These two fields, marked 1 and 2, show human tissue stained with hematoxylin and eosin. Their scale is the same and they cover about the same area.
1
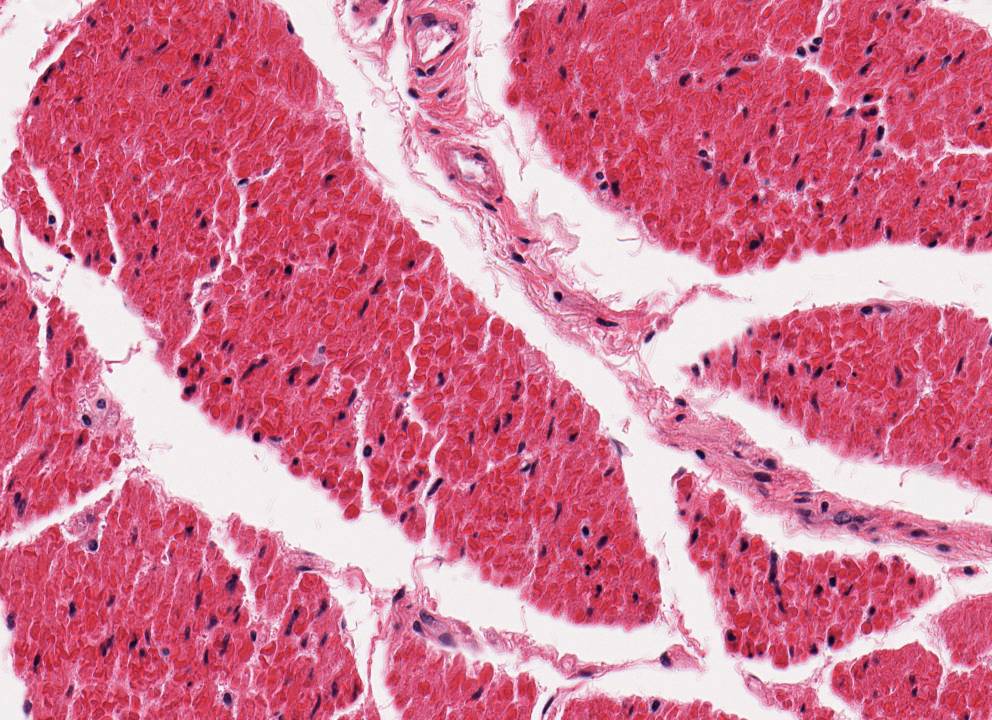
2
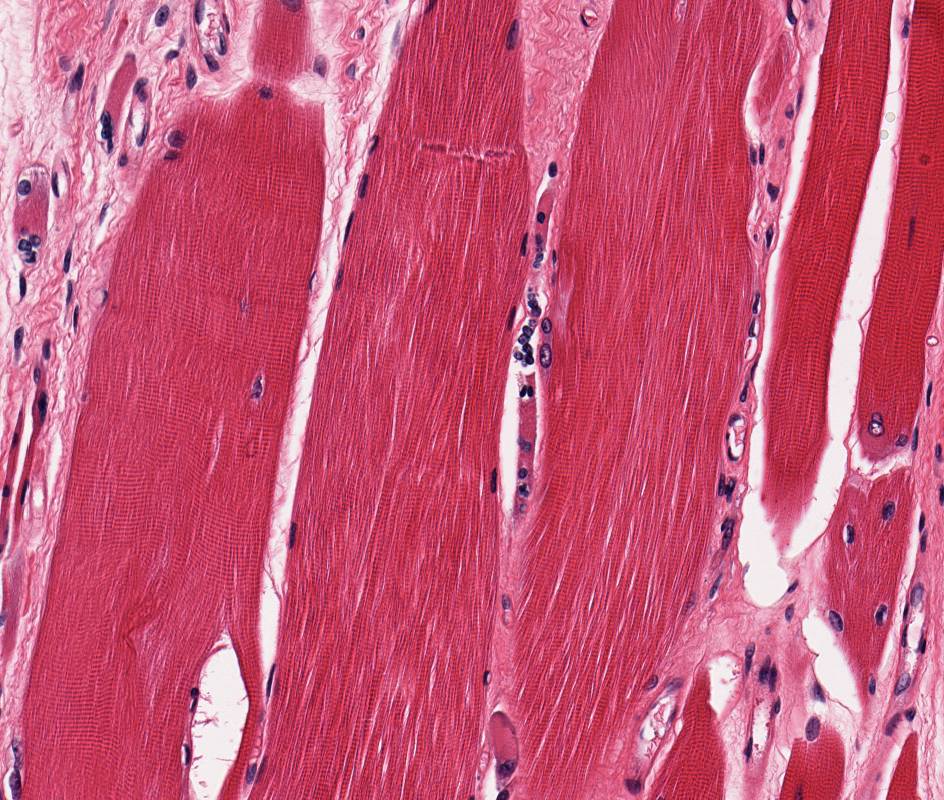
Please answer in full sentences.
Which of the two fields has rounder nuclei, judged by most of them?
It is field 1 whose nuclei are the rounder.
